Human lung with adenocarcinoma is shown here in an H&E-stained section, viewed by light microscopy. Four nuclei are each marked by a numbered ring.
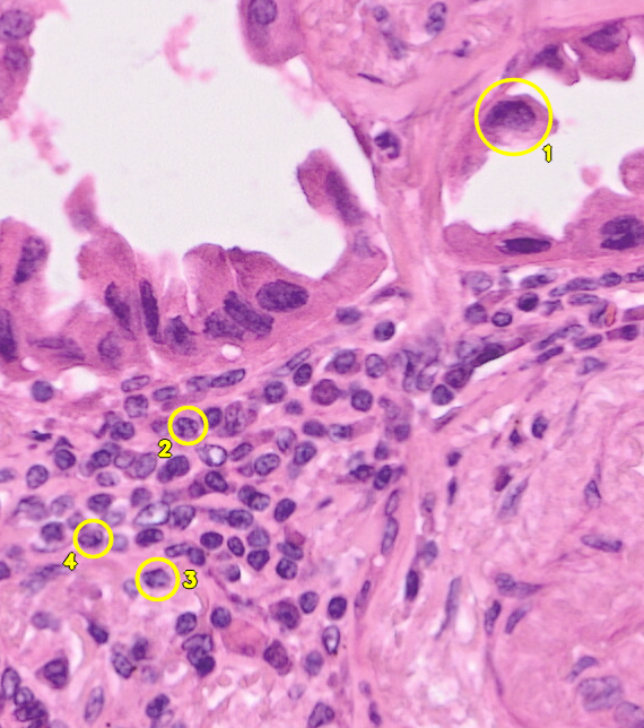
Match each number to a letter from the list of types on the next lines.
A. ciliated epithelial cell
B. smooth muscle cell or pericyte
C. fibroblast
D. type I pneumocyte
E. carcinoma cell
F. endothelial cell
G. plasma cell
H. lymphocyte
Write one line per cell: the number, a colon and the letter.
1: E
2: H
3: H
4: H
